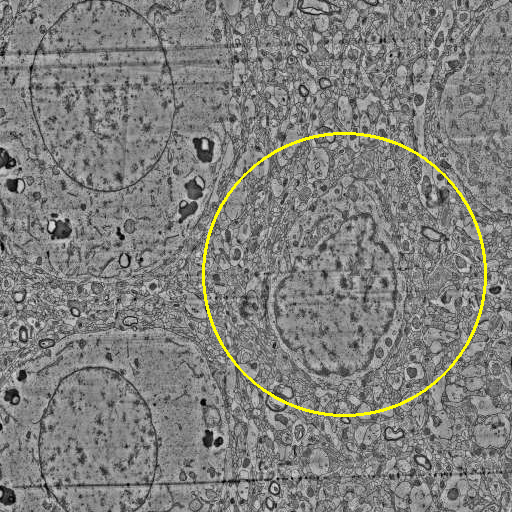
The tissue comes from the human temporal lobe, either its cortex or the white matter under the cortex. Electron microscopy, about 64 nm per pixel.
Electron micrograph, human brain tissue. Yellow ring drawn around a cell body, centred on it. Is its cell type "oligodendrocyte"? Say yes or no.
no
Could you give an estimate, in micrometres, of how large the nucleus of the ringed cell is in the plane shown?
The nucleus has a long axis of about 10 micrometres and a short axis of about 8 micrometres in this plane.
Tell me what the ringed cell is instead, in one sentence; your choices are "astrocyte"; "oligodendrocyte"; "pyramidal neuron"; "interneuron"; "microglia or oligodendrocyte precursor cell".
Instead, the cell inside the ring is an interneuron.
